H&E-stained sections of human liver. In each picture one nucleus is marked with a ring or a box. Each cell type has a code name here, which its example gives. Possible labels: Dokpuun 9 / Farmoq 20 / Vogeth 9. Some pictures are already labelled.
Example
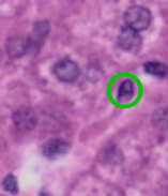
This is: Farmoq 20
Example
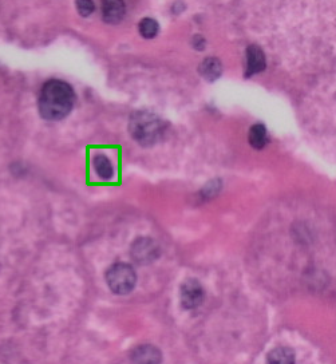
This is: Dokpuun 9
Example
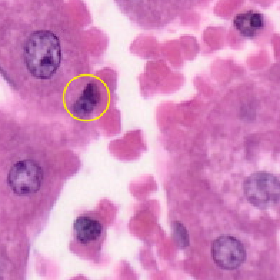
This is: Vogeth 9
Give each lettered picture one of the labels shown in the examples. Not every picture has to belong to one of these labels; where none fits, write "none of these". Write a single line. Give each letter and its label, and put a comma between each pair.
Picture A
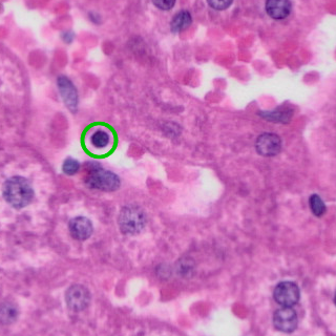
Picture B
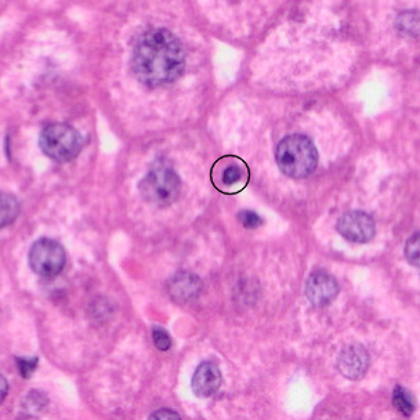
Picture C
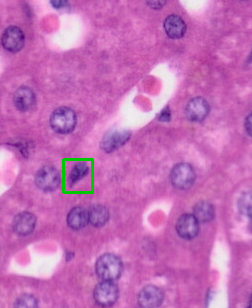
A Dokpuun 9, B Vogeth 9, C Vogeth 9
